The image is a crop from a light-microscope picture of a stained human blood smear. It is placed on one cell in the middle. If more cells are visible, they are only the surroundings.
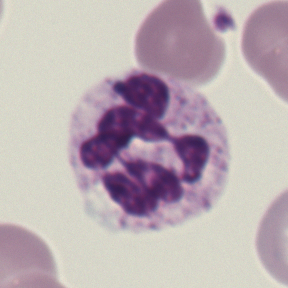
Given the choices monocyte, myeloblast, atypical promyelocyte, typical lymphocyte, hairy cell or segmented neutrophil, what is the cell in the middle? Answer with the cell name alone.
segmented neutrophil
